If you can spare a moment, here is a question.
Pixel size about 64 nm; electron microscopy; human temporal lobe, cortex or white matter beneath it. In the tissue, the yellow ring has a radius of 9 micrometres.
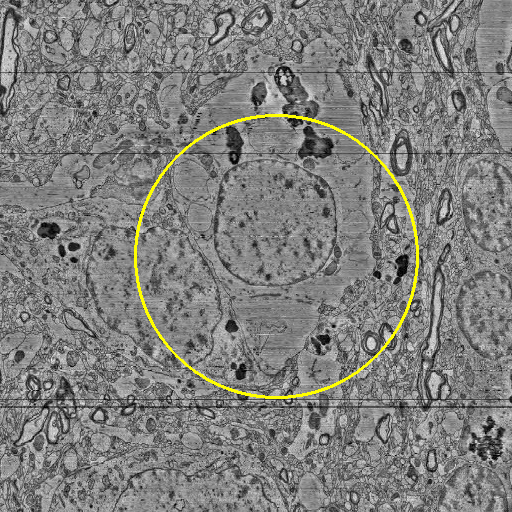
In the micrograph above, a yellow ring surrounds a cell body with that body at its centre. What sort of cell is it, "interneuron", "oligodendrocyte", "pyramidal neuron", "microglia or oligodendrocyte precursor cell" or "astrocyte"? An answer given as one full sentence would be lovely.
Centred inside the yellow ring, the cell body shown belongs to an astrocyte in this micrograph.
